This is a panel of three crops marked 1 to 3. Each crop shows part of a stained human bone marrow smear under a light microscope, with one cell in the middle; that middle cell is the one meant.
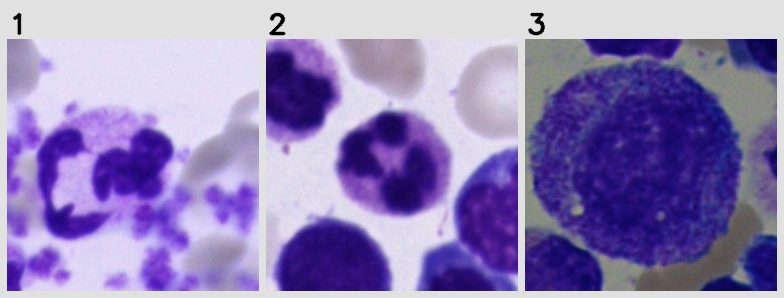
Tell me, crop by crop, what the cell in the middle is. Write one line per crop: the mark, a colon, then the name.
1: segmented neutrophil
2: segmented neutrophil
3: promyelocyte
